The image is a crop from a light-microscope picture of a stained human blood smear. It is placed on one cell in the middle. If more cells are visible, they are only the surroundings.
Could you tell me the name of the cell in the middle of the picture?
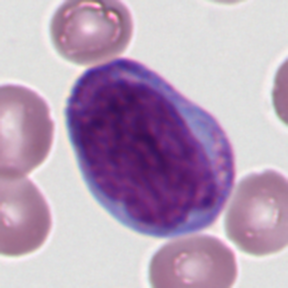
atypical promyelocyte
